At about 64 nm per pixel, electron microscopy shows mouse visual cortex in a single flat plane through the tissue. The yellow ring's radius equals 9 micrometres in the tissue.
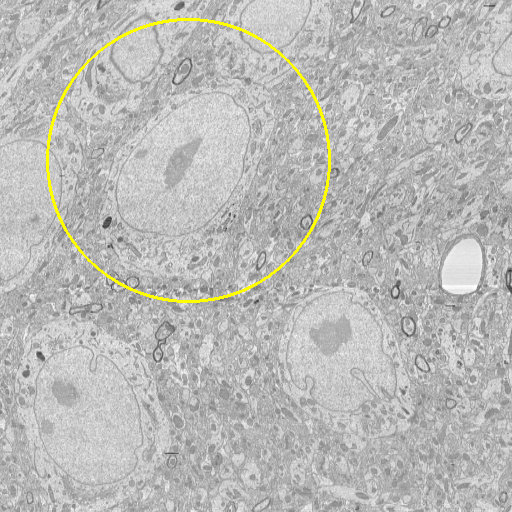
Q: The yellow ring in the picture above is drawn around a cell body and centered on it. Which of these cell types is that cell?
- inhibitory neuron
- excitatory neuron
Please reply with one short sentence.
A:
The cell body at the ring's center belongs to an excitatory neuron.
